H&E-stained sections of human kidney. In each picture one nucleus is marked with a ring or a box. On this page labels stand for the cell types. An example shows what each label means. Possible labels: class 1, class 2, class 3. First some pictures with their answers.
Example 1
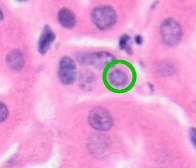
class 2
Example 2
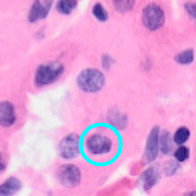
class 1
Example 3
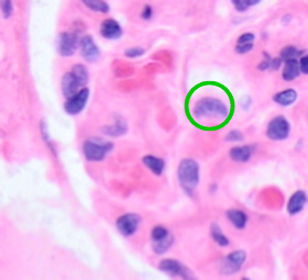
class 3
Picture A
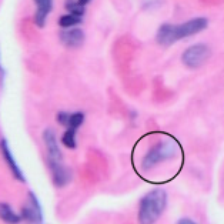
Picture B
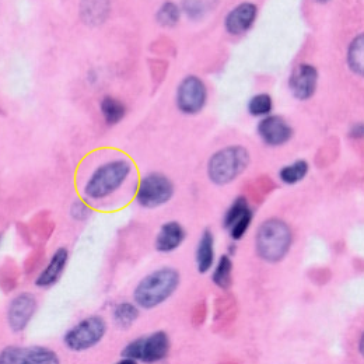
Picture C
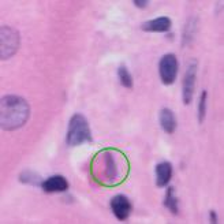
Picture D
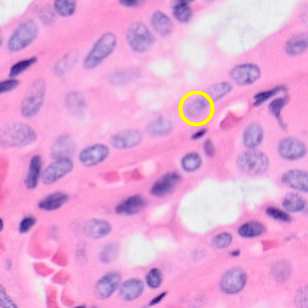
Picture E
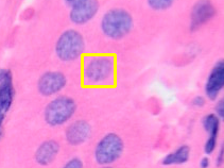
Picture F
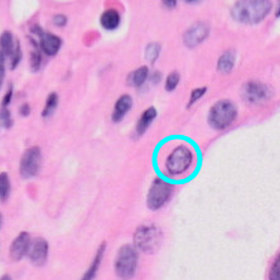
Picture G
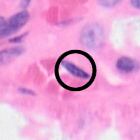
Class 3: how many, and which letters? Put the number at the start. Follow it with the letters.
3: A, C, G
